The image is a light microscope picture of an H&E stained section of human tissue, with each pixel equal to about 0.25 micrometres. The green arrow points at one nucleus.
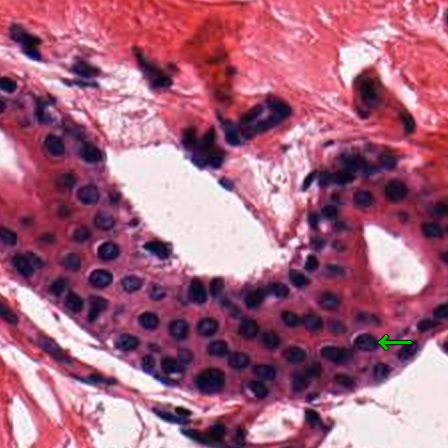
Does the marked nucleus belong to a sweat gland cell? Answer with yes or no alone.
yes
